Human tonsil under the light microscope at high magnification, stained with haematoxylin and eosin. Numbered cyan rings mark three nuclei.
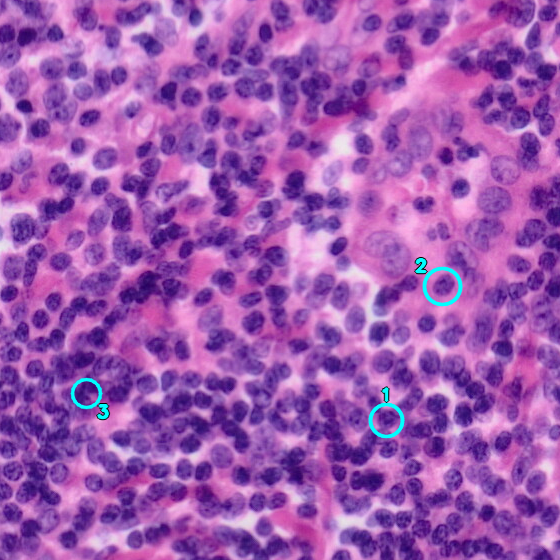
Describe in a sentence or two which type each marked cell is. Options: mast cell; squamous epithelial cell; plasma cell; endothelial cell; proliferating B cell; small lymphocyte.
Cells 1 and 3 are small lymphocytes. Cell 2 is an endothelial cell.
